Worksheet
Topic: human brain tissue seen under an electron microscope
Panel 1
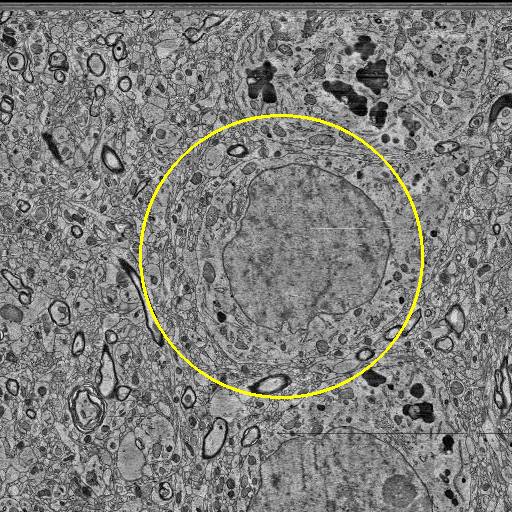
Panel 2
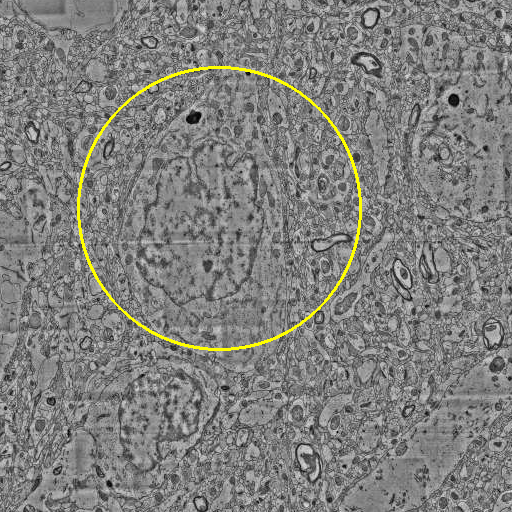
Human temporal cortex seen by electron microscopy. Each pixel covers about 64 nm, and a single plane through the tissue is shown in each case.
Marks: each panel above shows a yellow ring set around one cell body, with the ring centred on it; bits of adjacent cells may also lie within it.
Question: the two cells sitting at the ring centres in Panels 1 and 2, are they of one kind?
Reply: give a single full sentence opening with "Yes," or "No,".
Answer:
No, the two ring-centre cells in Panel 1 and Panel 2 are of two kinds.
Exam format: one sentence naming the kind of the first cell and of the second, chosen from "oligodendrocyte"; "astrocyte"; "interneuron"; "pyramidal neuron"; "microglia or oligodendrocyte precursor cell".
The first picture's cell is a pyramidal neuron, and the second picture's cell is an interneuron.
